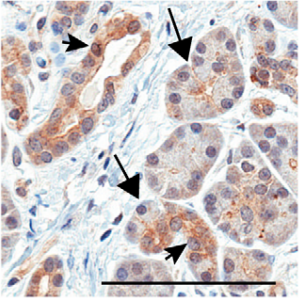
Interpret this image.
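Pancreatic tissue with acini of cells of acinar morphology and small metaplastic ducts in between, set in a loose fibrous stroma. The acinar cells are pyramidal, with round basal nuclei and granular cytoplasm, and are grouped around tiny lumens in rounded clusters. The metaplastic ducts are lined by a single layer of cuboidal to columnar cells around an open lumen, and their cytoplasm is stained brown more strongly than that of the acini. Thin strands of stroma with elongated blue nuclei separate the clusters.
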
